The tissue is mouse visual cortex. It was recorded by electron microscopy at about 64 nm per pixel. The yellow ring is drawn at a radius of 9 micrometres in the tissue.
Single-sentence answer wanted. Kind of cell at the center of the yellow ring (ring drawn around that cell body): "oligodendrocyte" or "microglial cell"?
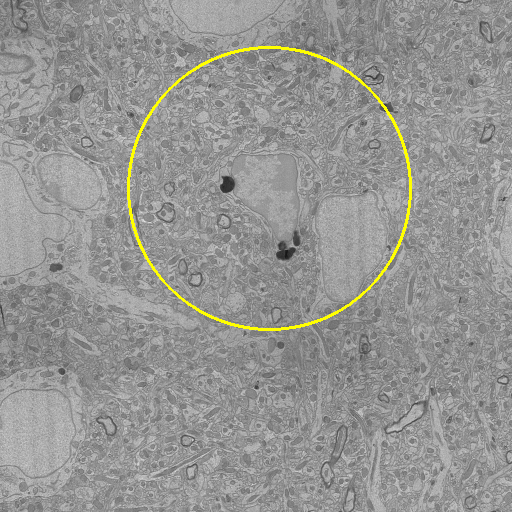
The cell centered in the ring is a microglial cell.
